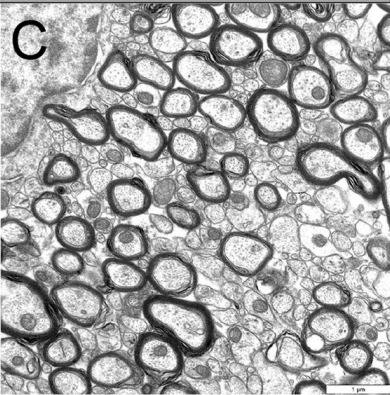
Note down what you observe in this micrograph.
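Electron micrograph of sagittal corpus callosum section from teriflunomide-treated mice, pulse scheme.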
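Most axons are round to oval and surrounded by a thick, dark, compact myelin sheath, with pale axoplasm containing a few small organelles. Smaller unsheathed profiles fill the spaces between the myelinated axons.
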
